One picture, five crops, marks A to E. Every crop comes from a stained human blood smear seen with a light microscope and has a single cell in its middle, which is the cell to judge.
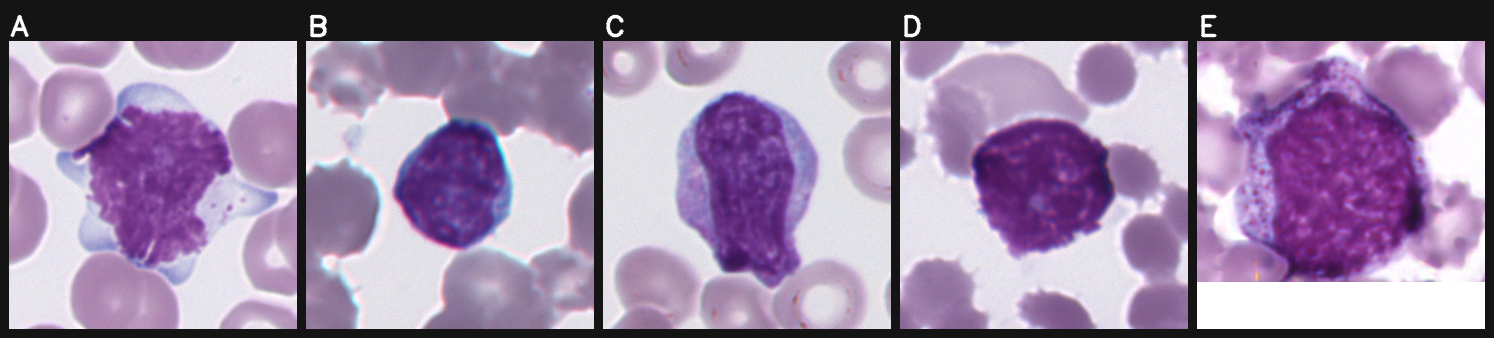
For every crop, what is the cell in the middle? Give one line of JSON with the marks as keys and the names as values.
{"A": "large granular lymphocyte", "B": "typical lymphocyte", "C": "atypical promyelocyte", "D": "smudge cell", "E": "promyelocyte"}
